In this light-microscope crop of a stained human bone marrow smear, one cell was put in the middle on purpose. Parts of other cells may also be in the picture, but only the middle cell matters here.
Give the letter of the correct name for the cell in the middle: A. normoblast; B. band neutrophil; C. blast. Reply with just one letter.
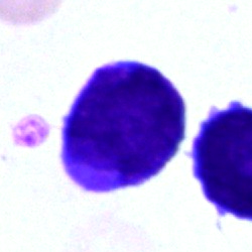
C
